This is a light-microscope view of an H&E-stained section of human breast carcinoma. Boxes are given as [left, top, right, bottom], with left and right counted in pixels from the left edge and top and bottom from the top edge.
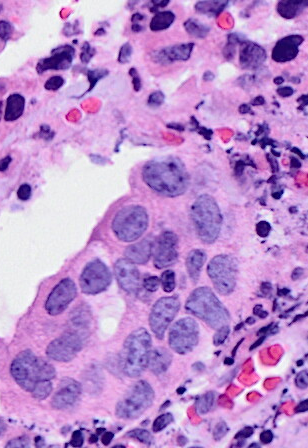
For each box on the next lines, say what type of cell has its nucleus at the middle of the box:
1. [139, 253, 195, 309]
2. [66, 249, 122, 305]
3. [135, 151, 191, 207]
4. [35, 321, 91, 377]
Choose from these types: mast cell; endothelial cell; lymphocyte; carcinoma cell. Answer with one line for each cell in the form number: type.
1: lymphocyte
2: carcinoma cell
3: carcinoma cell
4: carcinoma cell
